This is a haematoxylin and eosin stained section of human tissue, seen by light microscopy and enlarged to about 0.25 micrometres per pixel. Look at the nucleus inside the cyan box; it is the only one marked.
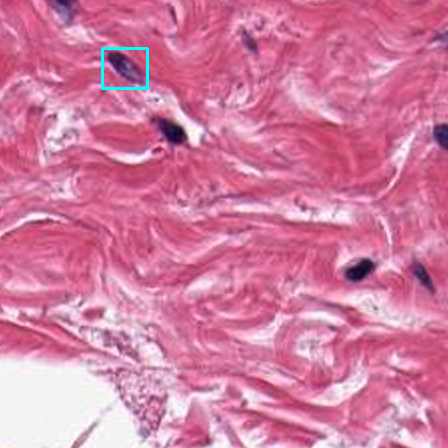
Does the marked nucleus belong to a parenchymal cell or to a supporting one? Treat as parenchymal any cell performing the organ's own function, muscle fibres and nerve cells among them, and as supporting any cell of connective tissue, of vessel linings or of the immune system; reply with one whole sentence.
The indicated nucleus in this section belongs to a supporting cell.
